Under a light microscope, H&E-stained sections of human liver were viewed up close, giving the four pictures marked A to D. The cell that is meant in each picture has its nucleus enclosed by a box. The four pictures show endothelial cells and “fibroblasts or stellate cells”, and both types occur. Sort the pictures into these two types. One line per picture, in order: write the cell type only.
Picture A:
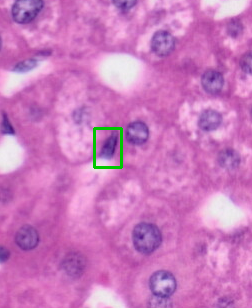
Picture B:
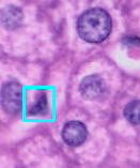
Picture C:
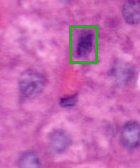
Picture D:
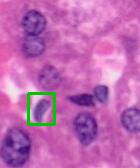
fibroblast or stellate cell
endothelial cell
fibroblast or stellate cell
endothelial cell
